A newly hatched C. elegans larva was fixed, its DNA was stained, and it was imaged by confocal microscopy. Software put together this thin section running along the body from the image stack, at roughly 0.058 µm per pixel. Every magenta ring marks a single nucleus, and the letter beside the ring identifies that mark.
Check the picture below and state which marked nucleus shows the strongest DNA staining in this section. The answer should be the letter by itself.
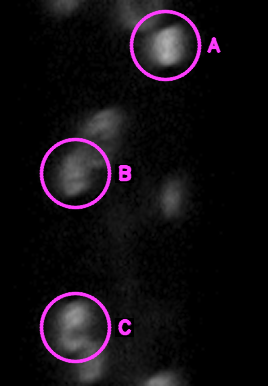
A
